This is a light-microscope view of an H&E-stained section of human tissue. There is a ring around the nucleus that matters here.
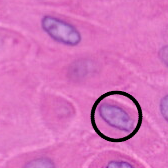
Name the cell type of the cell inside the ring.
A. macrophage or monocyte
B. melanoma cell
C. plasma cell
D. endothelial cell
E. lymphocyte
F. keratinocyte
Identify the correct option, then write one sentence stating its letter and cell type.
Of the options offered, F is correct, as the cell inside the ring is a keratinocyte.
